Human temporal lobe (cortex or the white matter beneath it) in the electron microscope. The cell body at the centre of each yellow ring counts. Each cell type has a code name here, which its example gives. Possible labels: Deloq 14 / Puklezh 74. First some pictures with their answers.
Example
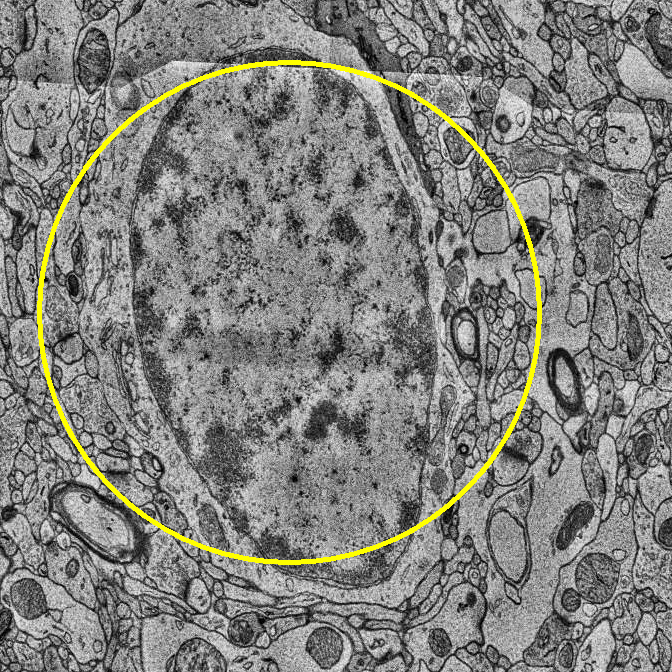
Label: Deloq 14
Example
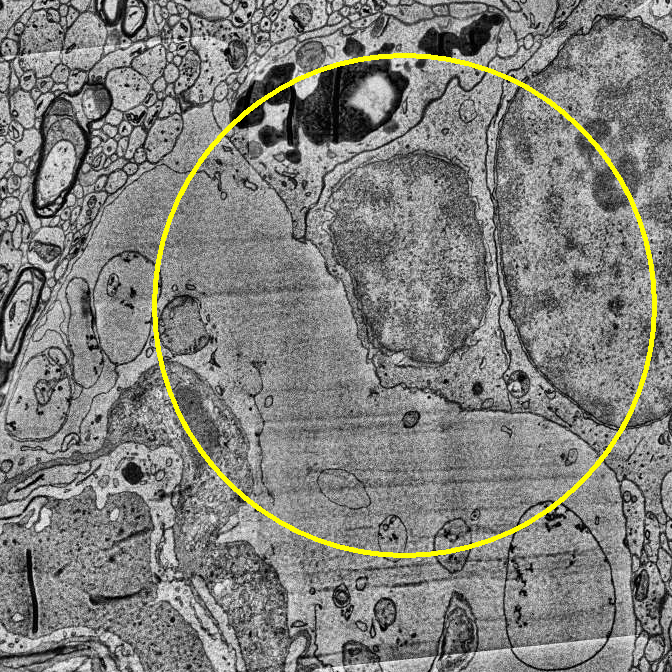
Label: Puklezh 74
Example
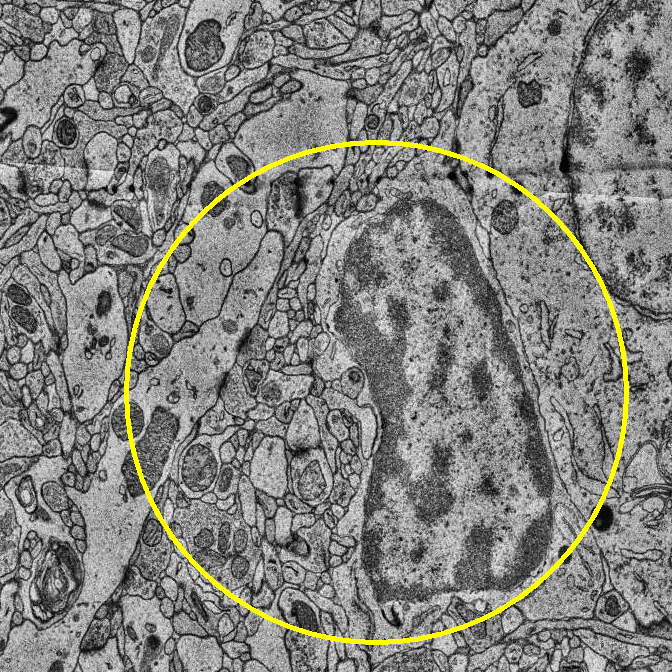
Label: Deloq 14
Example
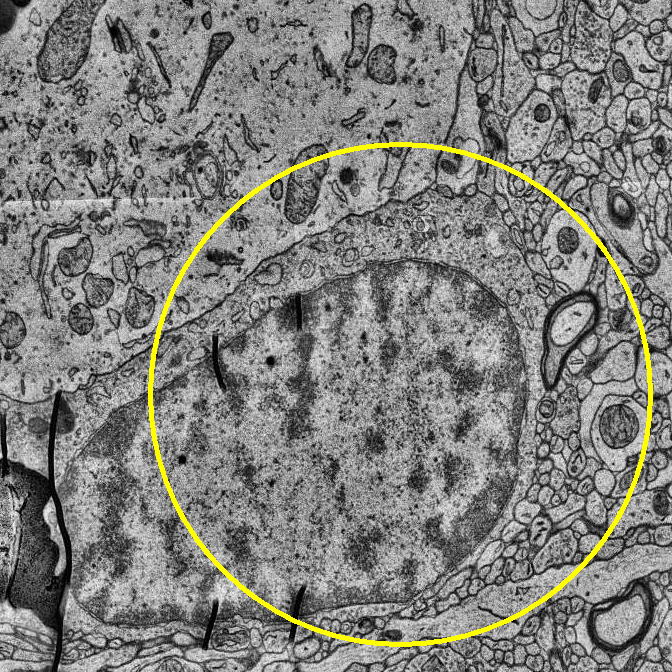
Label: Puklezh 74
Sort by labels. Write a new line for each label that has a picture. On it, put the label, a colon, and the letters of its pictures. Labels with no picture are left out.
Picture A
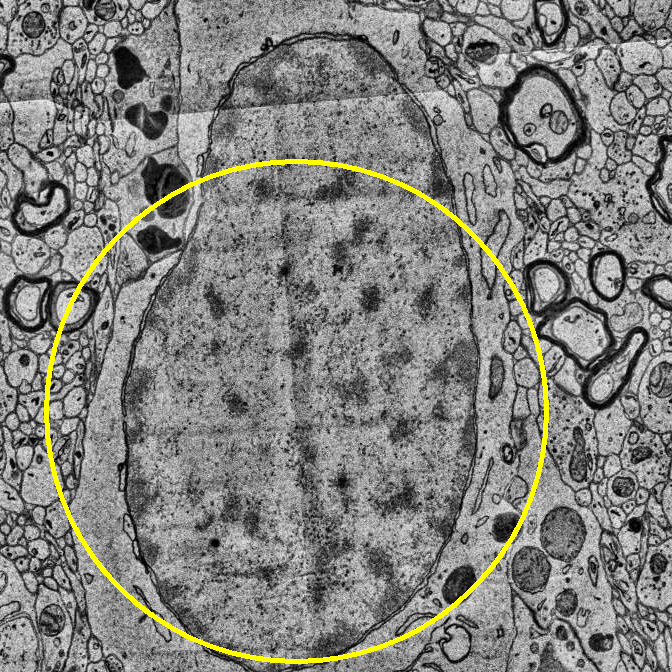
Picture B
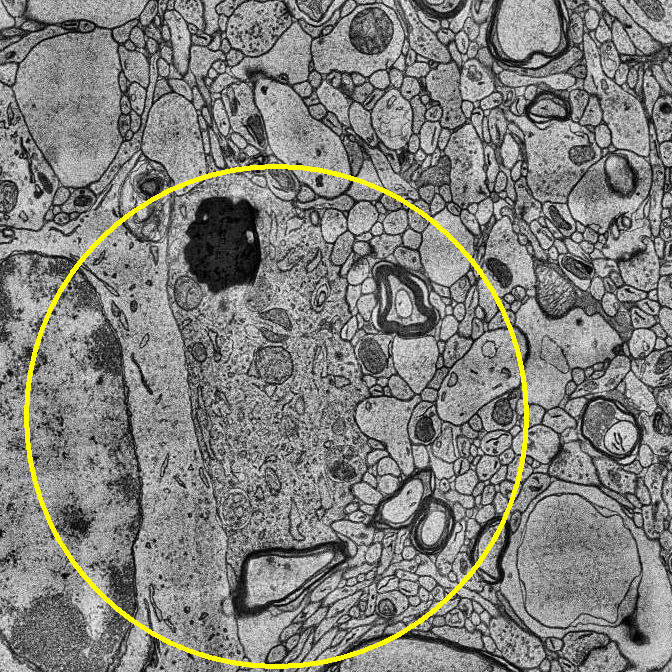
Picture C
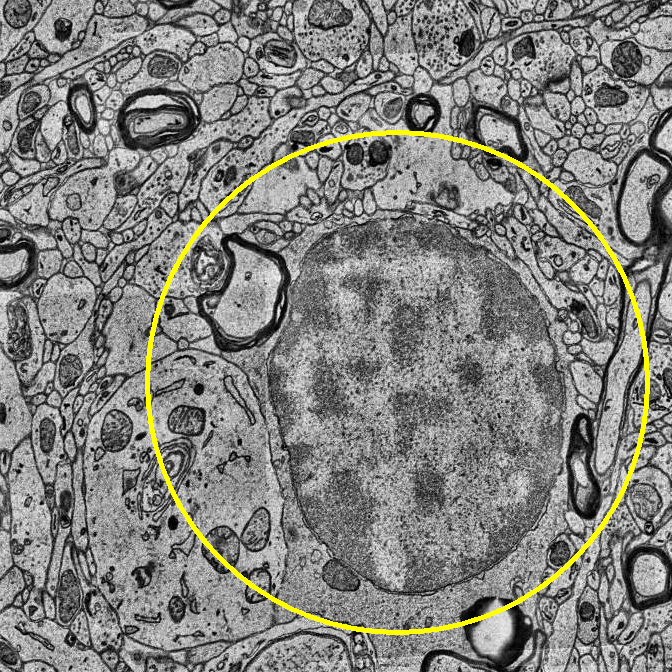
Deloq 14: A
Puklezh 74: B, C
